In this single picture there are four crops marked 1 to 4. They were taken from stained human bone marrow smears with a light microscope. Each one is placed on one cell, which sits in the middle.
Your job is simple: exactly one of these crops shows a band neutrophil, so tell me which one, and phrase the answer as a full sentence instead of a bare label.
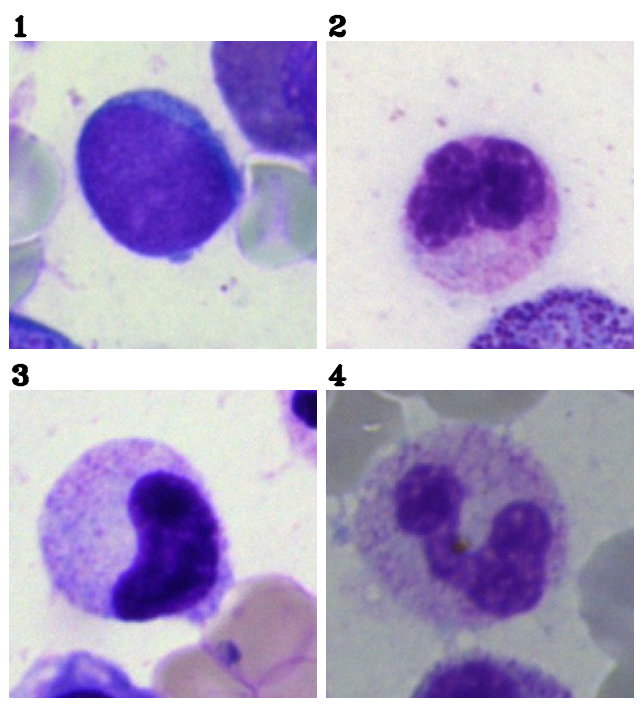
Within this set, crop 3 is the one with a band neutrophil at its center.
